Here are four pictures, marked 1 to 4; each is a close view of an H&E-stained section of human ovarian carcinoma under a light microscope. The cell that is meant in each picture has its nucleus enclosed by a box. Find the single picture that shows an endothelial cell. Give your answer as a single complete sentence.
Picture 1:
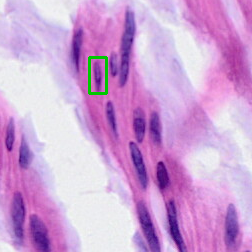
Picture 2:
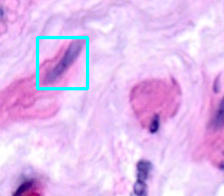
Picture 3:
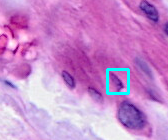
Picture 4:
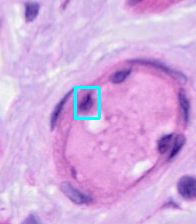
The picture with the endothelial cell is 4.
